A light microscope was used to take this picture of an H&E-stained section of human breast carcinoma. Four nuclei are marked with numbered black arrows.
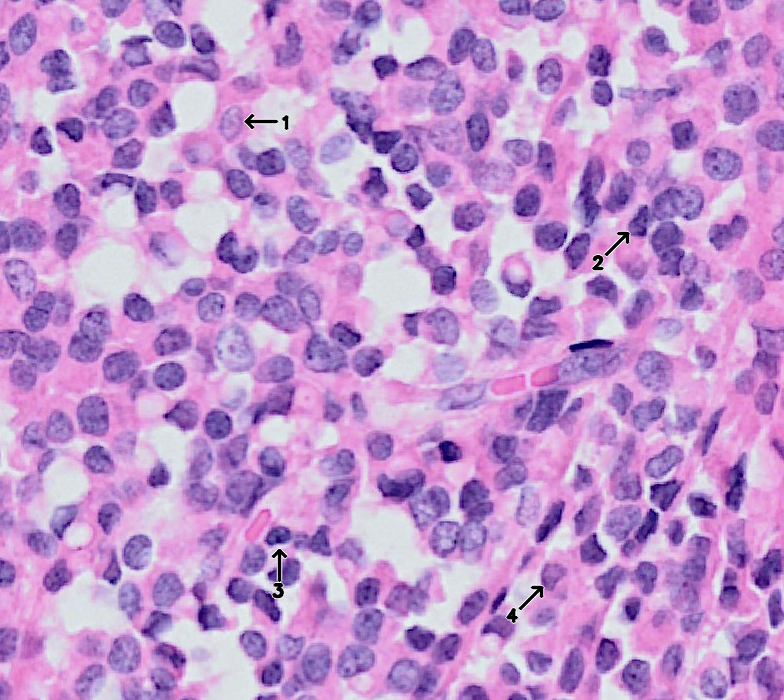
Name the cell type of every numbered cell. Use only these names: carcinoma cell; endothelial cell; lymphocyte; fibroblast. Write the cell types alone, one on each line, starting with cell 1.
carcinoma cell
carcinoma cell
lymphocyte
carcinoma cell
